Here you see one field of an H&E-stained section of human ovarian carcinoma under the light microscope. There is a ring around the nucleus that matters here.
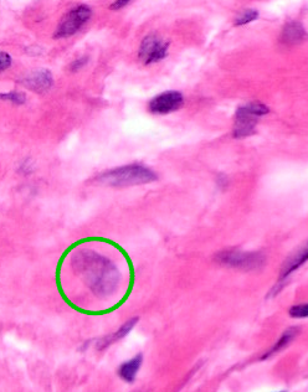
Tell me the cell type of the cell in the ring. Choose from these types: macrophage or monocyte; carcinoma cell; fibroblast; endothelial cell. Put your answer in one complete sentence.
Recorded by type, the cell in the ring is a fibroblast.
